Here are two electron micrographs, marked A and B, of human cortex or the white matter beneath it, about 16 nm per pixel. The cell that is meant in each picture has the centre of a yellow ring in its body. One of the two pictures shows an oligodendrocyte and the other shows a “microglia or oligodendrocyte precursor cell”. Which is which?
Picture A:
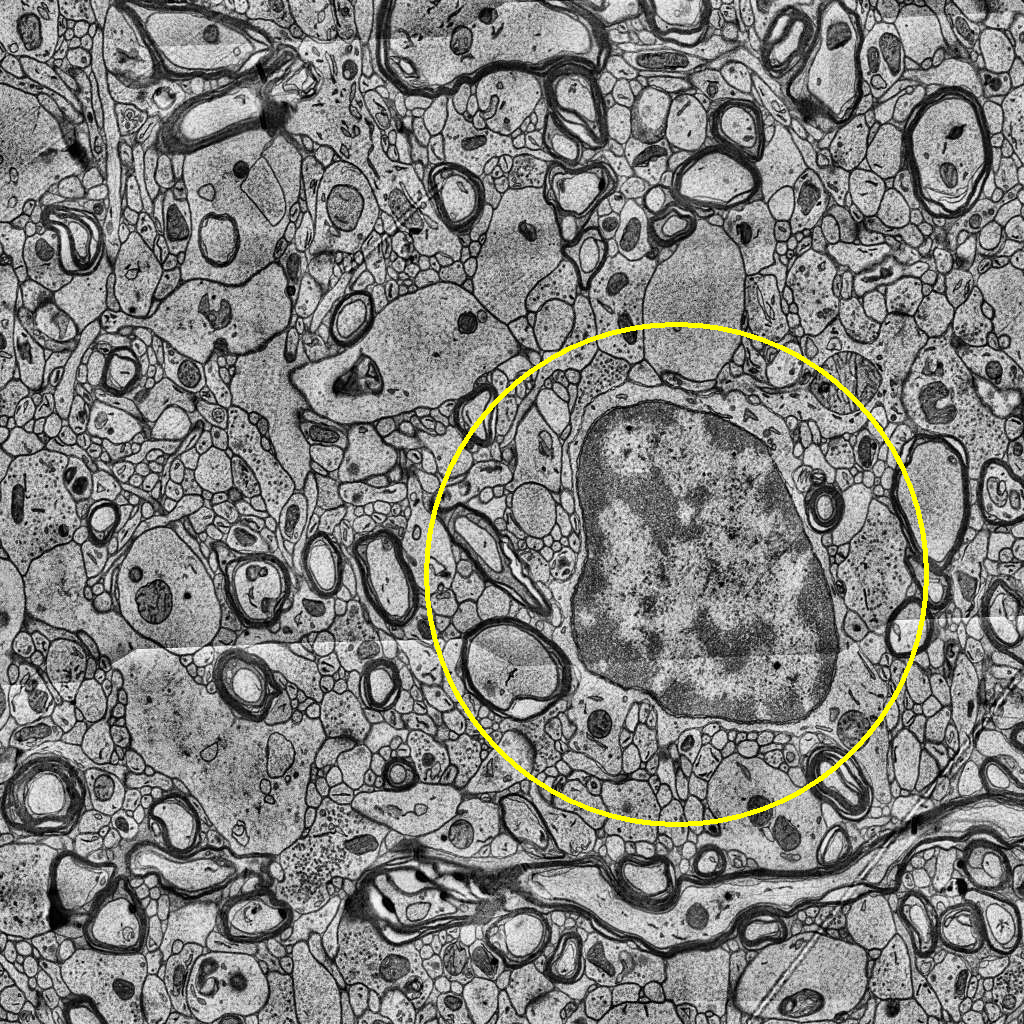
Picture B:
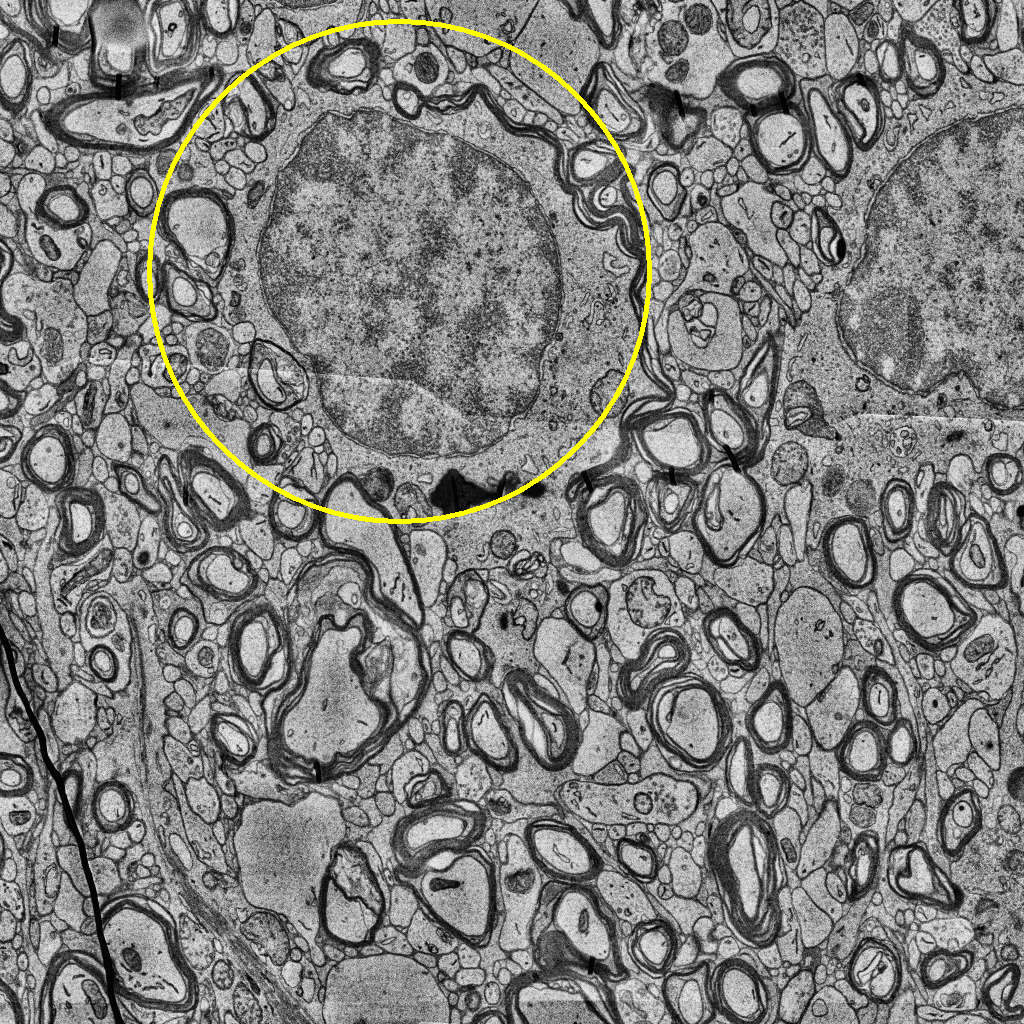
Picture B shows an oligodendrocyte, while picture A shows a “microglia or oligodendrocyte precursor cell”.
